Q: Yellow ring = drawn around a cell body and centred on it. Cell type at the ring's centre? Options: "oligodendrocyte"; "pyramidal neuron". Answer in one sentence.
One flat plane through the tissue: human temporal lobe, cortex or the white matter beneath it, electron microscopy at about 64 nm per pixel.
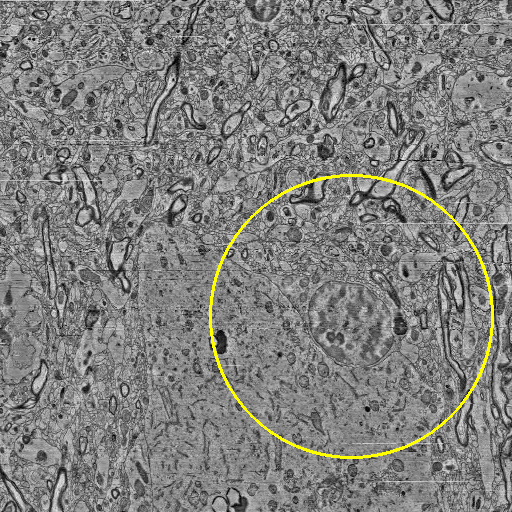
Centred in the ring is an oligodendrocyte.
